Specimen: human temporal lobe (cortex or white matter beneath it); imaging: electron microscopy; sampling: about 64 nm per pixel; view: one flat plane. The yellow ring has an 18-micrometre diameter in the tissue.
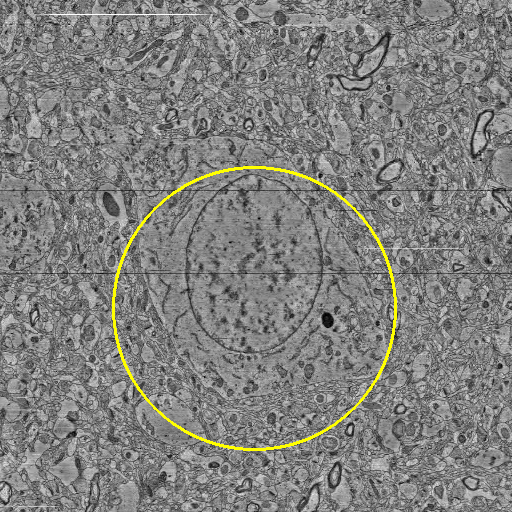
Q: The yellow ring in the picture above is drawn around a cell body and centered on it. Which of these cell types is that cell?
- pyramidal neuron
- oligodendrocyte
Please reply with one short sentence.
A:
The cell body at the ring's center belongs to a pyramidal neuron.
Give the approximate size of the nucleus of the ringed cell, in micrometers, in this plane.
Roughly 12 by 9 micrometres is the size of the nucleus in this plane.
